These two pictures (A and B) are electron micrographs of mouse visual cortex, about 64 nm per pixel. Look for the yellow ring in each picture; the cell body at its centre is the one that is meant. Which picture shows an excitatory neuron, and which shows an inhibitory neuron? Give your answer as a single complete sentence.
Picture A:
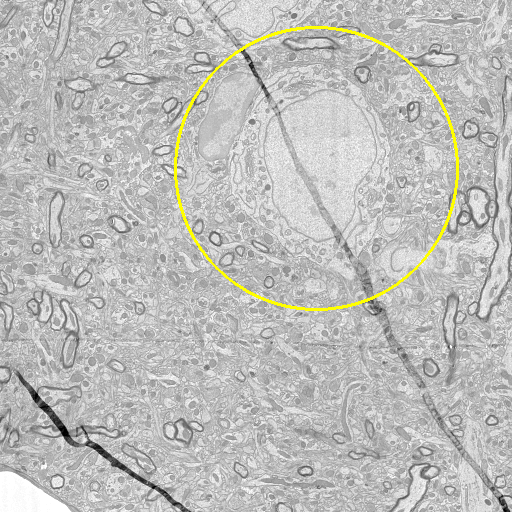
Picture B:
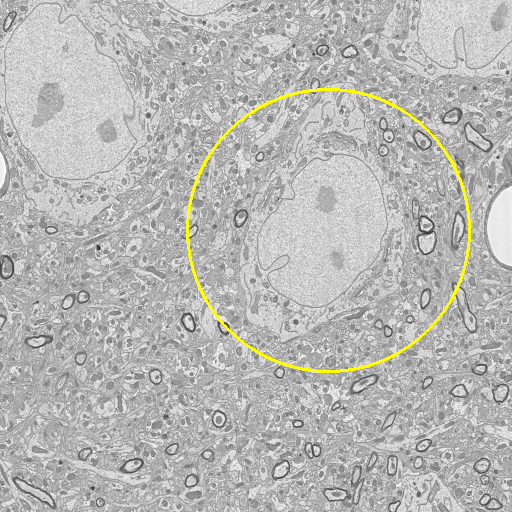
Picture B shows an excitatory neuron, while picture A shows an inhibitory neuron.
